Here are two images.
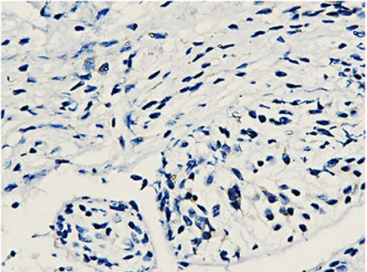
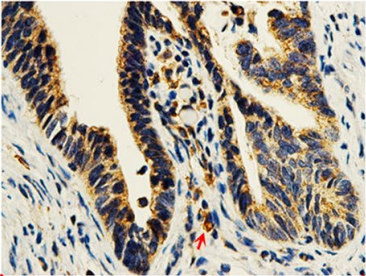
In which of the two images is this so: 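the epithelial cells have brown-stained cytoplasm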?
The second image.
